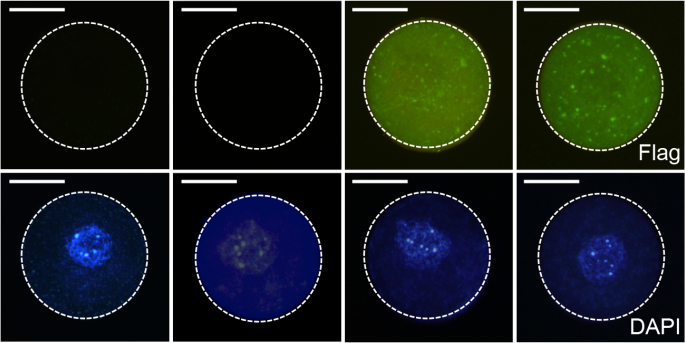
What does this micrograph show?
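These are large, round oocytes, each traced by a white dashed circle and seen singly in each frame. In the lower row each oocyte holds one large, rounded nucleus whose blue chromatin is speckled with brighter blue spots. In the upper row, two of the oocytes show fine green dots scattered through the cytoplasm across the whole cell, while the other two show no green.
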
